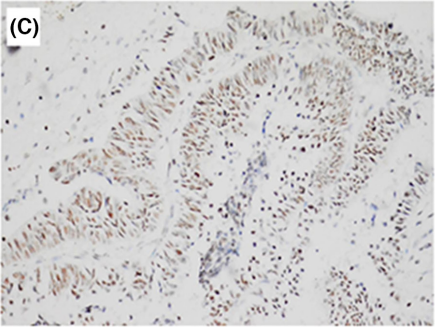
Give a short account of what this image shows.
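These are tumour cells forming elongated, folded glandular structures set in pale fibrous stroma. The epithelium is tall and crowded, with elongated nuclei stacked at different levels rather than in one neat row. Many nuclei and the cells around them take up a light to medium brown stain. The stroma between the glands contains scattered spindle-shaped cells and is largely unstained.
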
